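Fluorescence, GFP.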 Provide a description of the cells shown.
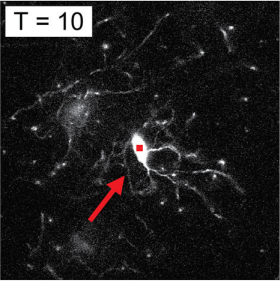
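To the upper left lies a more diffuse, hazy fluorescent area with many thin processes. The background is dark with scattered small fluorescent puncta and process fragments.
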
